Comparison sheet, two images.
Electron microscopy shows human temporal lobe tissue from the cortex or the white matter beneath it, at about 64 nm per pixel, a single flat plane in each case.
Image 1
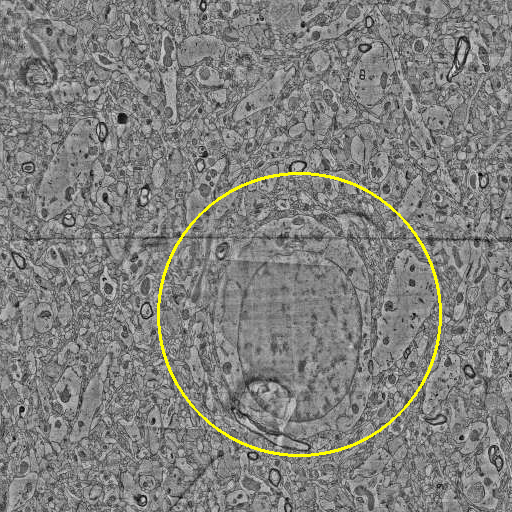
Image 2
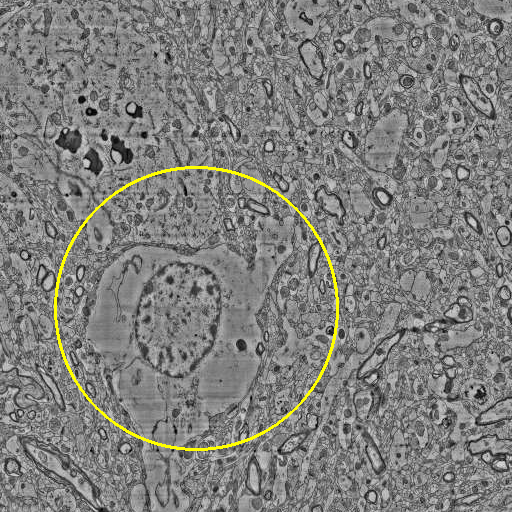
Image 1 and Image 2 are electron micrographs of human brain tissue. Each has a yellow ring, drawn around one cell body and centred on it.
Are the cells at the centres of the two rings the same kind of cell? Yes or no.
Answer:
no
